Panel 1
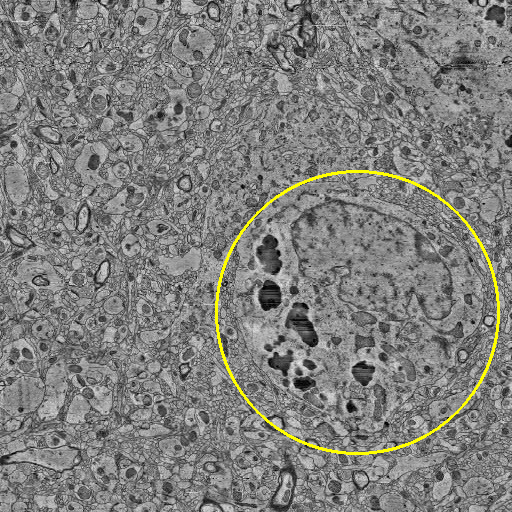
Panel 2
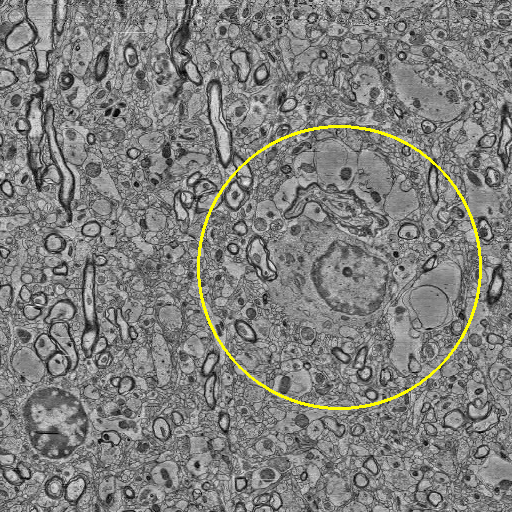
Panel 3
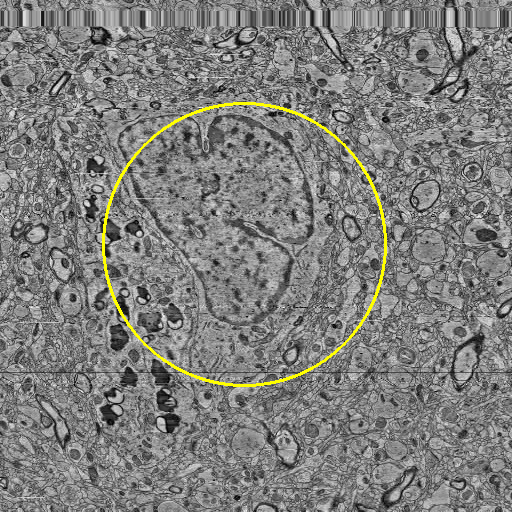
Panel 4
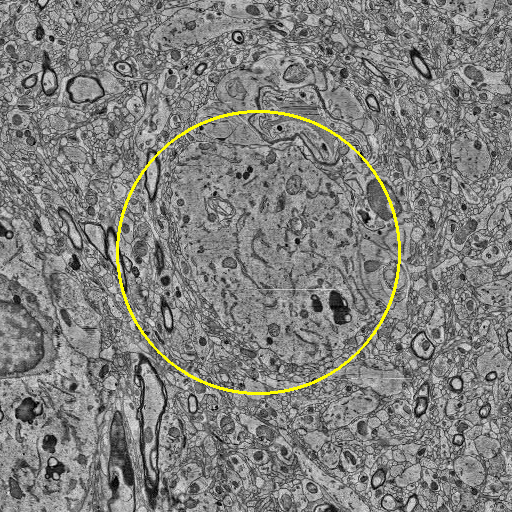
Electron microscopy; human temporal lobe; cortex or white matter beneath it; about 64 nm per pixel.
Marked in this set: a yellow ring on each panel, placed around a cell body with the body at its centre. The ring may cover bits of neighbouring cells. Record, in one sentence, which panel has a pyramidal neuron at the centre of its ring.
Panel 4 has it at the centre of its ring.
